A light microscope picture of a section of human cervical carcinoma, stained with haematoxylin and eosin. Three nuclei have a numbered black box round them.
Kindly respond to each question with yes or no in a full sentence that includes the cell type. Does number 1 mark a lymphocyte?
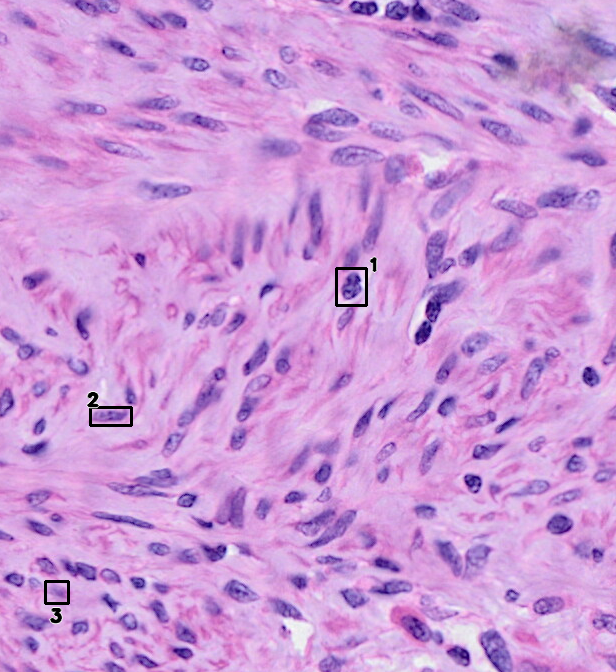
Yes, the cell that has number 1 is a lymphocyte.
